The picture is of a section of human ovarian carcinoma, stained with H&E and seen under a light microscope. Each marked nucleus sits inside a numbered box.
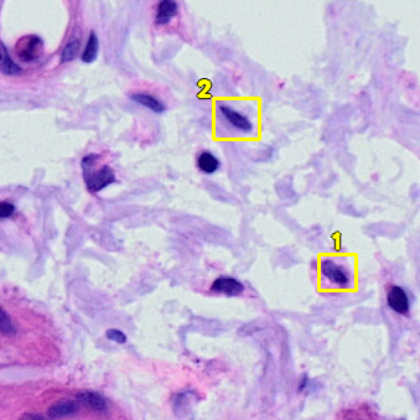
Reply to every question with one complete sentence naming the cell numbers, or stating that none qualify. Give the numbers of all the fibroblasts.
Cell 2 is the only numbered cell that is a fibroblast.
